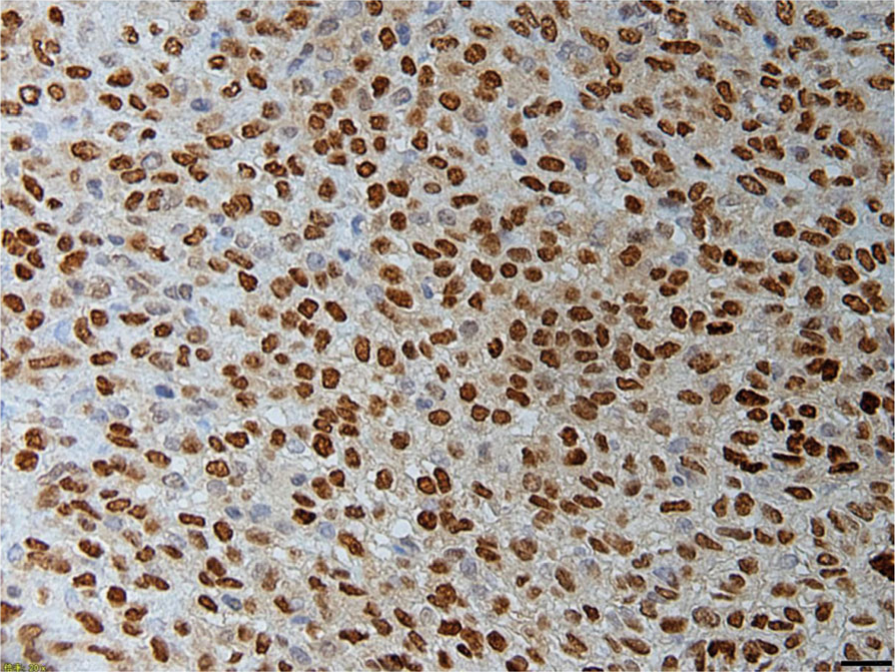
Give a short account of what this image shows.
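A dense sheet of tumour cells with oval to somewhat spindled nuclei fills the field, with no clear pattern of glands or layers. Most nuclei are stained a strong dark brown throughout, while the pale cytoplasm around them is only faintly tinged. The staining therefore sits in the nuclei of most of the tumour cells.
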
